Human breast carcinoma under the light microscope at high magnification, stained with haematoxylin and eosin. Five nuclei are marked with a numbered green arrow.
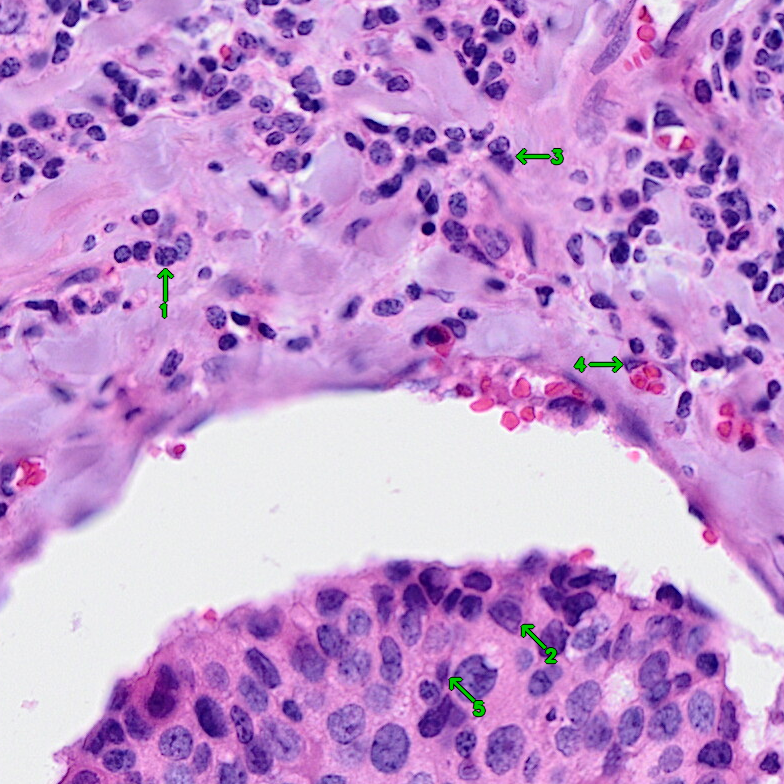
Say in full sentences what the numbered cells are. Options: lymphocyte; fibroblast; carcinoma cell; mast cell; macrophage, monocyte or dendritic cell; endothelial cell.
Cell 1 is a lymphocyte, cell 2 is a carcinoma cell, cell 3 is a lymphocyte, cell 4 is an endothelial cell and cell 5 is a carcinoma cell.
